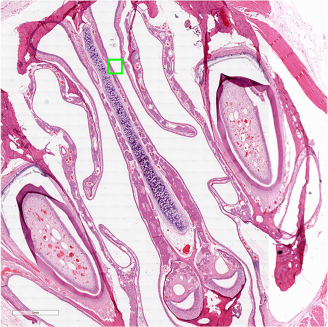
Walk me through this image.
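Low-power cross-section of a nasal region stained pink and purple. A long, straight midline plate has a dense dark purple core and a thin pink covering. Thin curved pink folds branch on either side into narrow air spaces. Two large oval structures sit to the sides, with pale interiors scattered with small red spots, and a small green box marks a short stretch of the midline plate's lining.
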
